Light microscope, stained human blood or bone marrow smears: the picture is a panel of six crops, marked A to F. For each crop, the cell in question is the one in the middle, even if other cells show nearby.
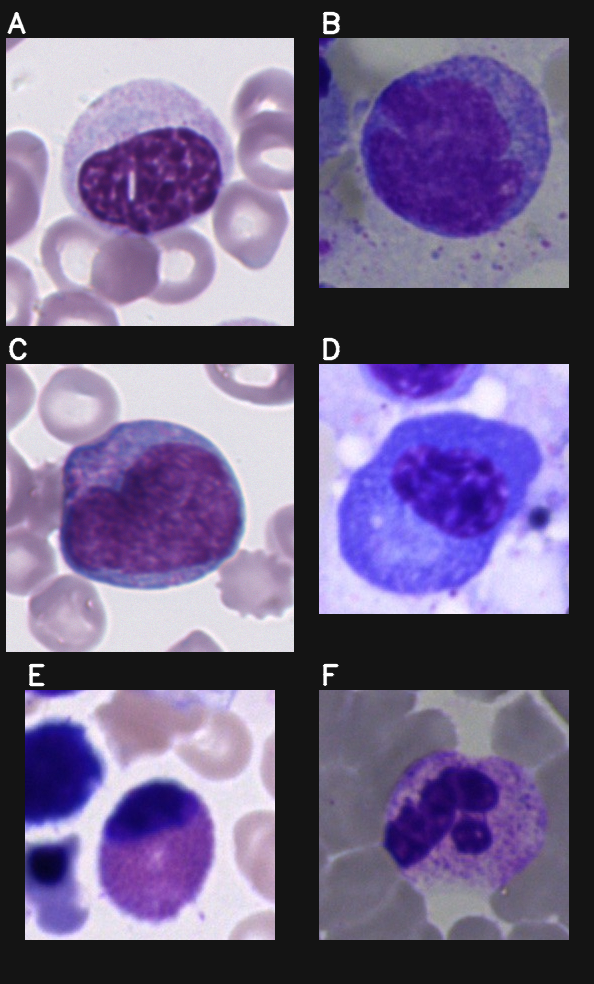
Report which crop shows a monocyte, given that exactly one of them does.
B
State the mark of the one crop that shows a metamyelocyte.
A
